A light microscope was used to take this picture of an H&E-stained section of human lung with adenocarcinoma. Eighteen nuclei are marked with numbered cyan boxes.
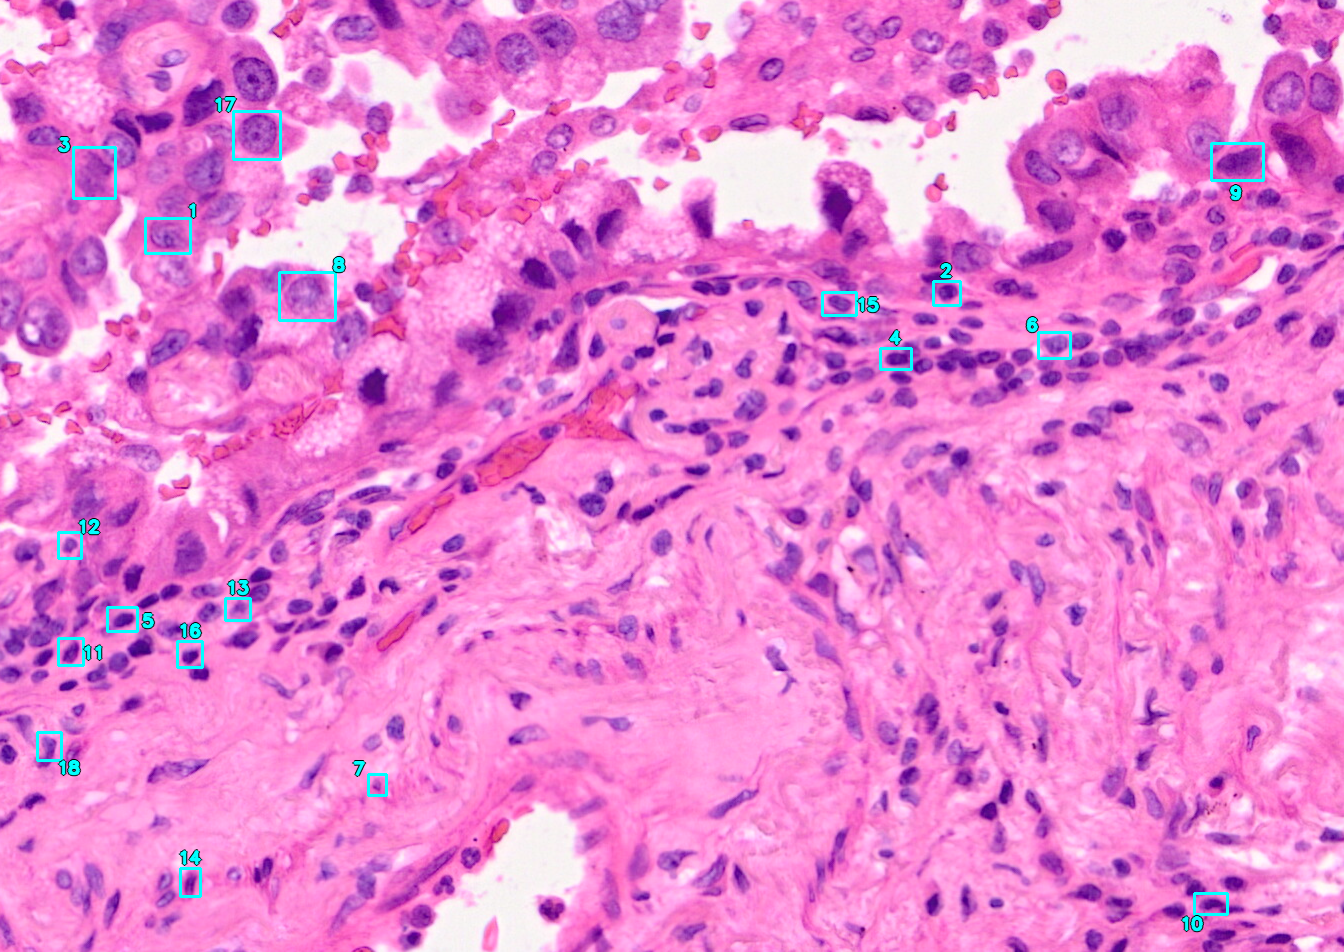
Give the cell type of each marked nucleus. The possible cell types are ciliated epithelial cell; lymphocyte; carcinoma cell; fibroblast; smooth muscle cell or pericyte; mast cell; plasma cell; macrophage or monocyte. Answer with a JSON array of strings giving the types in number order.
["carcinoma cell", "lymphocyte", "carcinoma cell", "lymphocyte", "lymphocyte", "lymphocyte", "smooth muscle cell or pericyte", "carcinoma cell", "carcinoma cell", "plasma cell", "lymphocyte", "lymphocyte", "lymphocyte", "smooth muscle cell or pericyte", "lymphocyte", "lymphocyte", "carcinoma cell", "lymphocyte"]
